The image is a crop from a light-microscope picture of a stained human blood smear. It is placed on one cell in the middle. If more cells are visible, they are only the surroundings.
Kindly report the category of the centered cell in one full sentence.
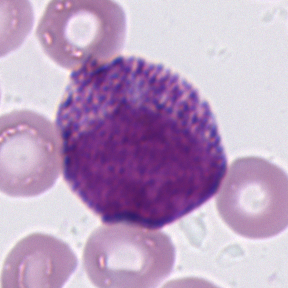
The crop shows a promyelocyte in its centre.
